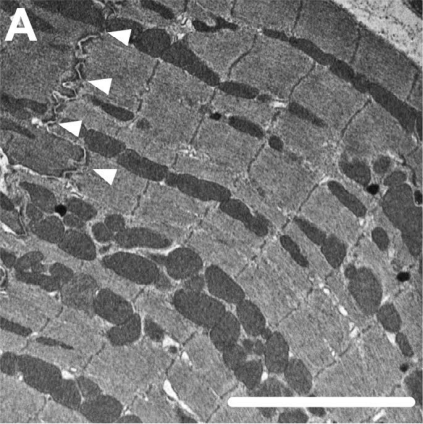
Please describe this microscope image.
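Cardiac muscle cells seen in longitudinal section at high magnification. The cytoplasm is packed with parallel myofibrils whose sarcomeres are regular, each bounded by thin dark transverse Z lines that are aligned across neighbouring myofibrils. Toward the upper left a dark, convoluted, step-like membrane line crosses the fibre, marking the junction between two cells, an intercalated disc. The spaces between organelles are narrow and no dilated membranous compartments are seen, giving an orderly, compact architecture.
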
